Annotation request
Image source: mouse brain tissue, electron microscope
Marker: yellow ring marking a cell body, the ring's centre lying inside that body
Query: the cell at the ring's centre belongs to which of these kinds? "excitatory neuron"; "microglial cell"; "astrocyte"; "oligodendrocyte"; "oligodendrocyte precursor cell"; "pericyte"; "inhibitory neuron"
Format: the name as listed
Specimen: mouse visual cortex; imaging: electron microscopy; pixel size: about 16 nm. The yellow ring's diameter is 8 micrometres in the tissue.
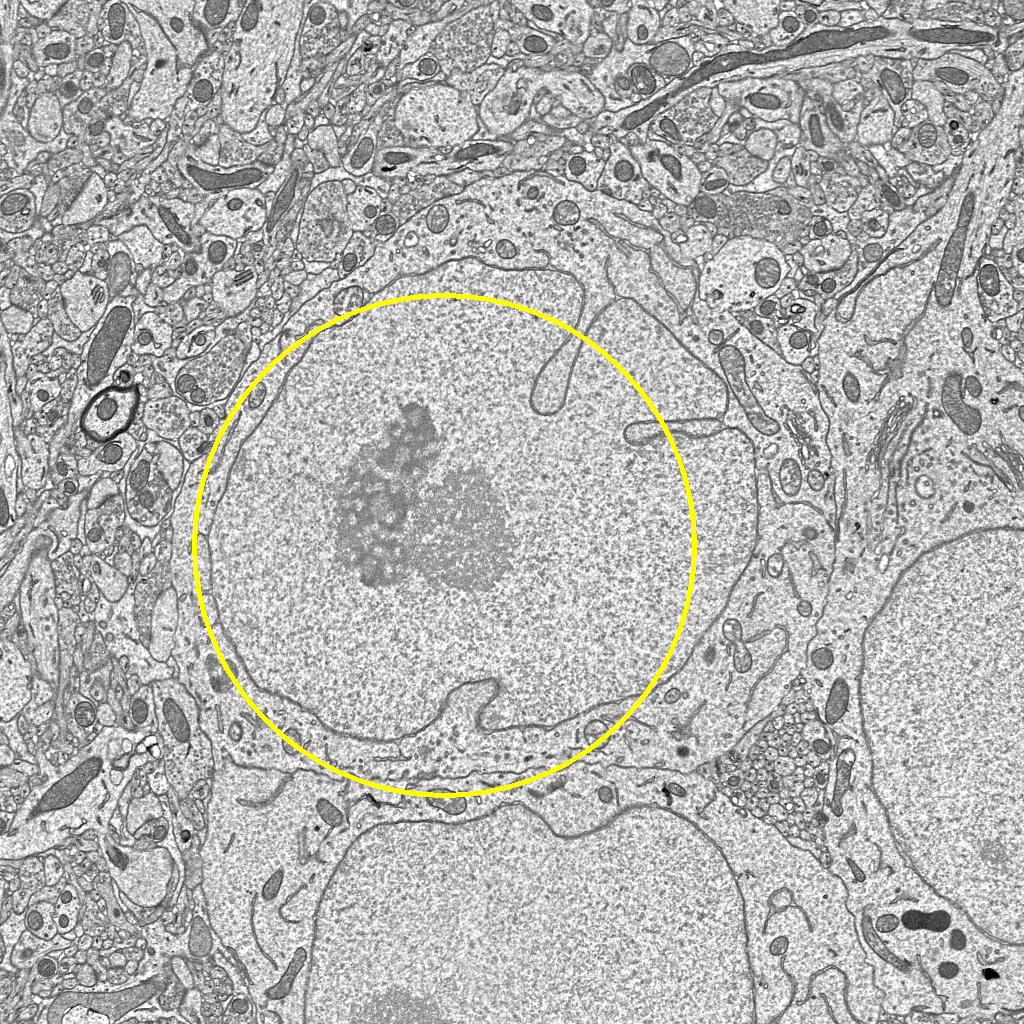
inhibitory neuron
